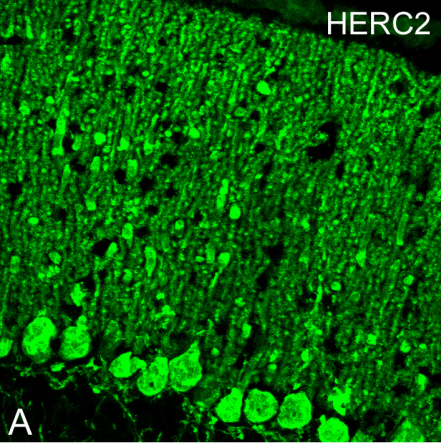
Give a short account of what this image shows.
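This is cerebellar cortex with a row of Purkinje cells. Along the bottom lies a single row of large, rounded, brightly green somata, set side by side. Above them a thick layer is crossed by many parallel, vertically running dendritic profiles and scattered small bright puncta, with a few dark holes where unlabeled cells sit. Below the somata row a thin band shows fine fibres. The arrangement of a monolayer of large neurons with their dendrites rising into the overlying layer is the typical architecture of the cerebellar cortex.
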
